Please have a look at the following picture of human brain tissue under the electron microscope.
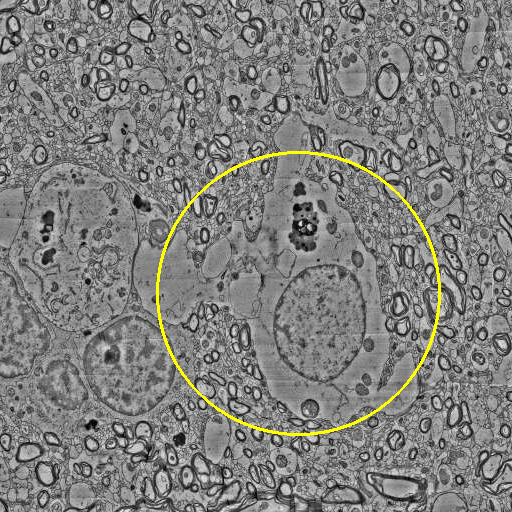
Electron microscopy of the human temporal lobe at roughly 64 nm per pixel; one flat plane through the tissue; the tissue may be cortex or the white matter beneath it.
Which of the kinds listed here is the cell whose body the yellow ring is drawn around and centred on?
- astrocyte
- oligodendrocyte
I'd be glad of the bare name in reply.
astrocyte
